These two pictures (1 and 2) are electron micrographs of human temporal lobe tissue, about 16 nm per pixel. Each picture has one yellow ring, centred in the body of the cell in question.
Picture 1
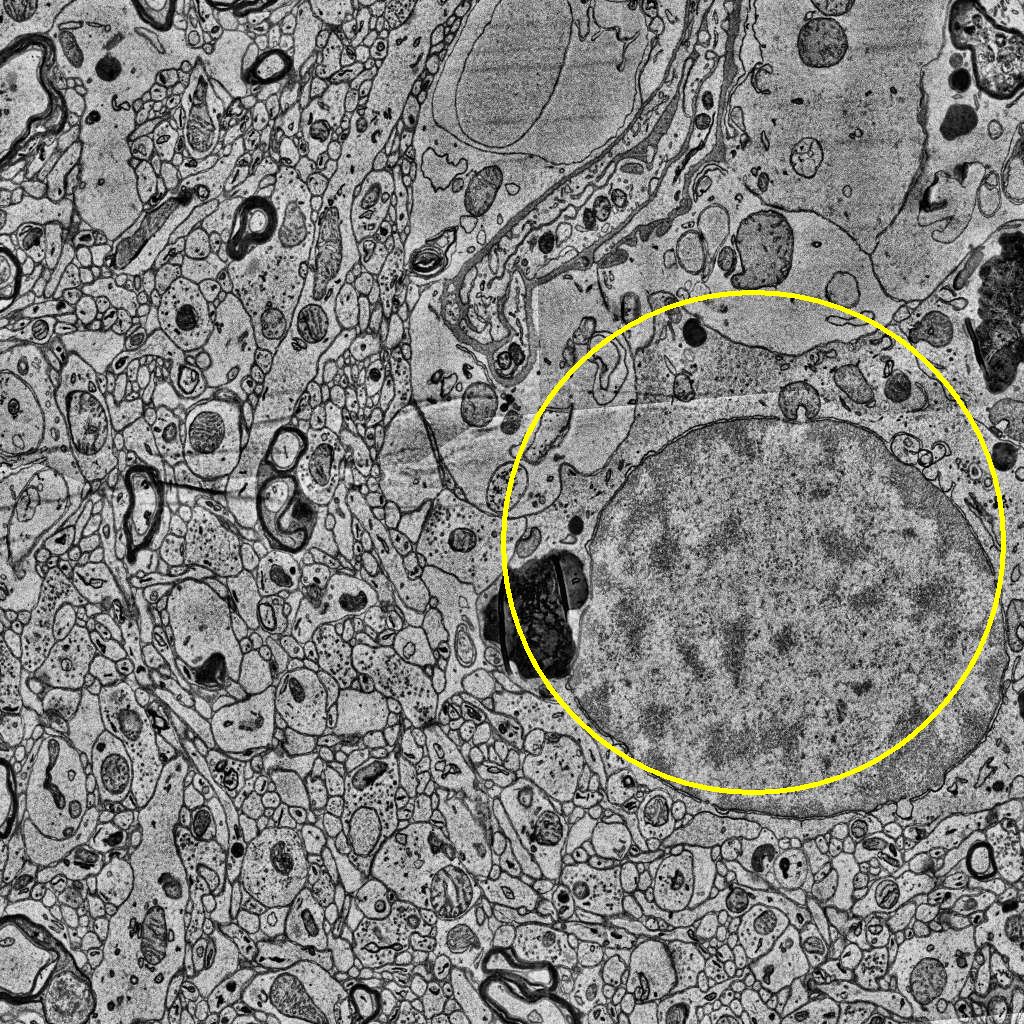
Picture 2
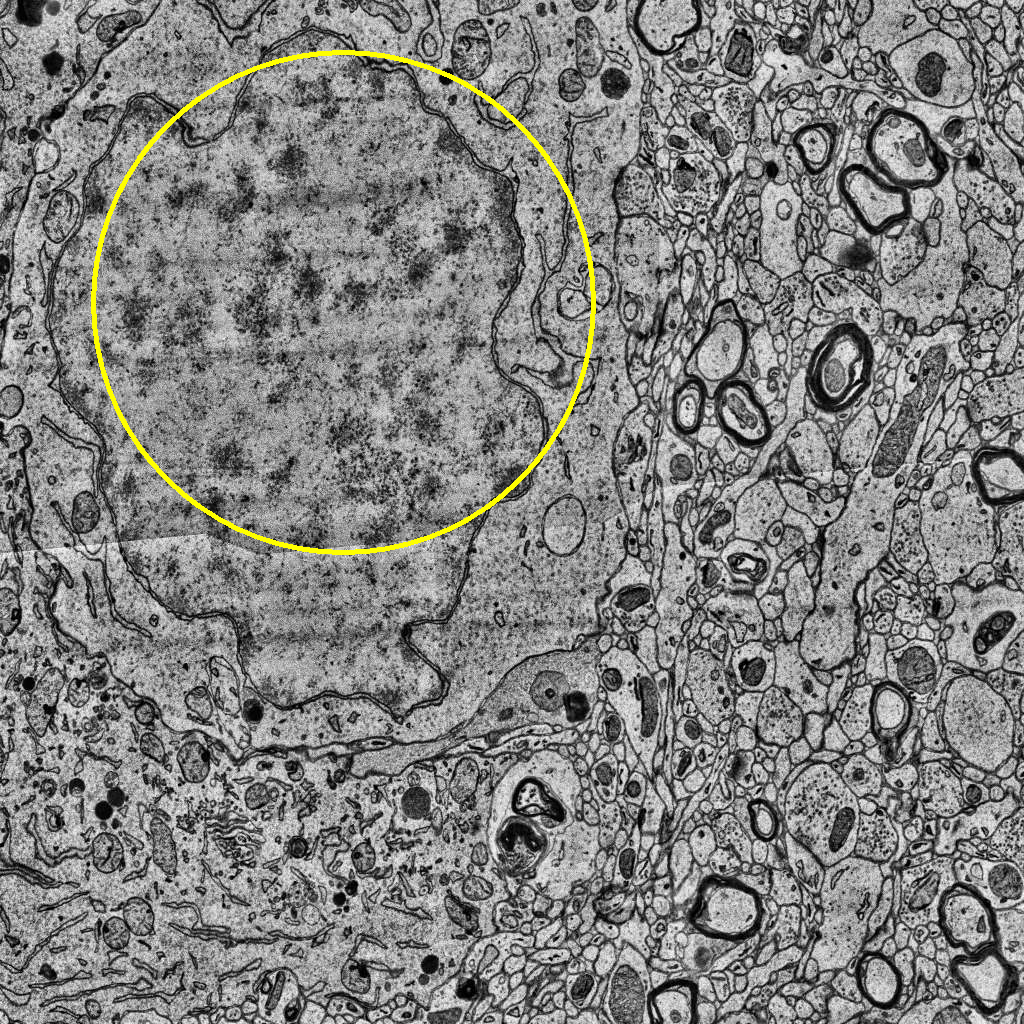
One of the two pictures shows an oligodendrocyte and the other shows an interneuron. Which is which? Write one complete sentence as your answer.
Picture 2 shows an interneuron, while picture 1 shows an oligodendrocyte.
